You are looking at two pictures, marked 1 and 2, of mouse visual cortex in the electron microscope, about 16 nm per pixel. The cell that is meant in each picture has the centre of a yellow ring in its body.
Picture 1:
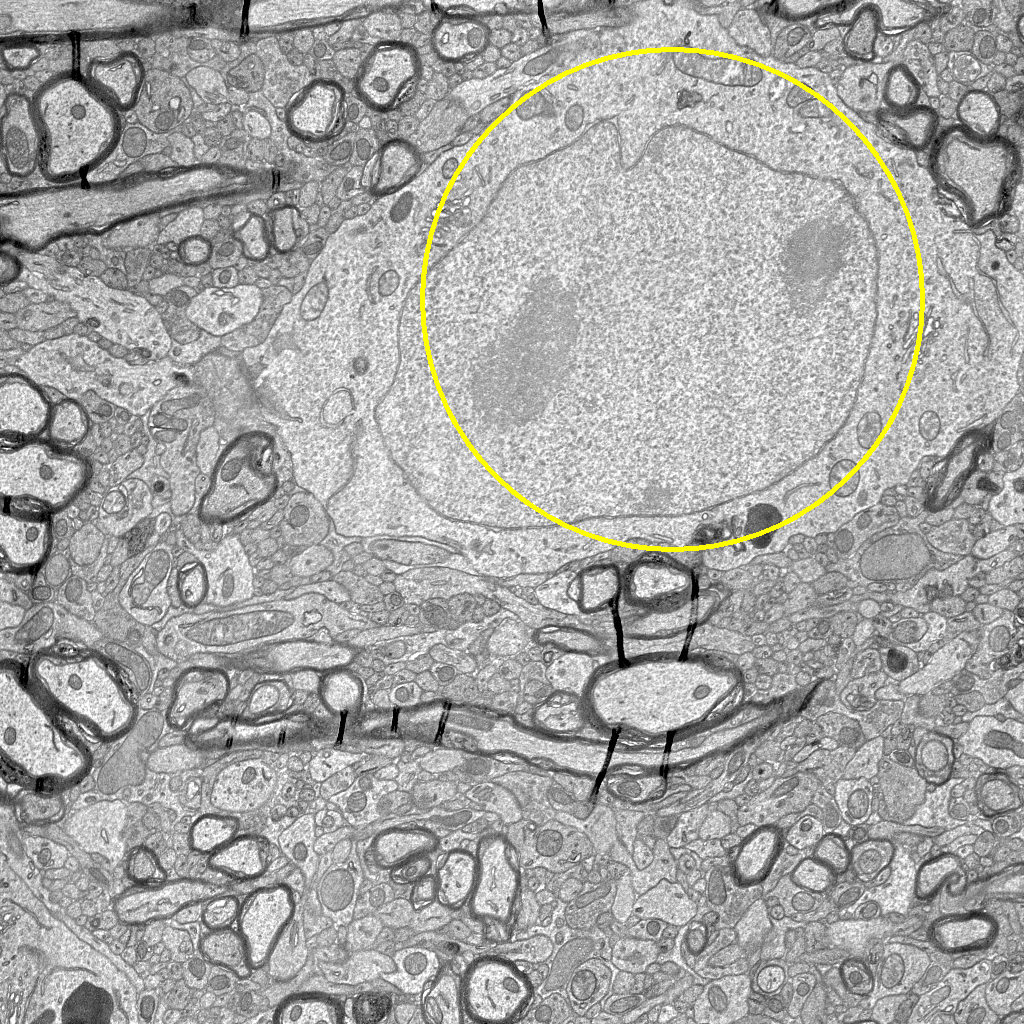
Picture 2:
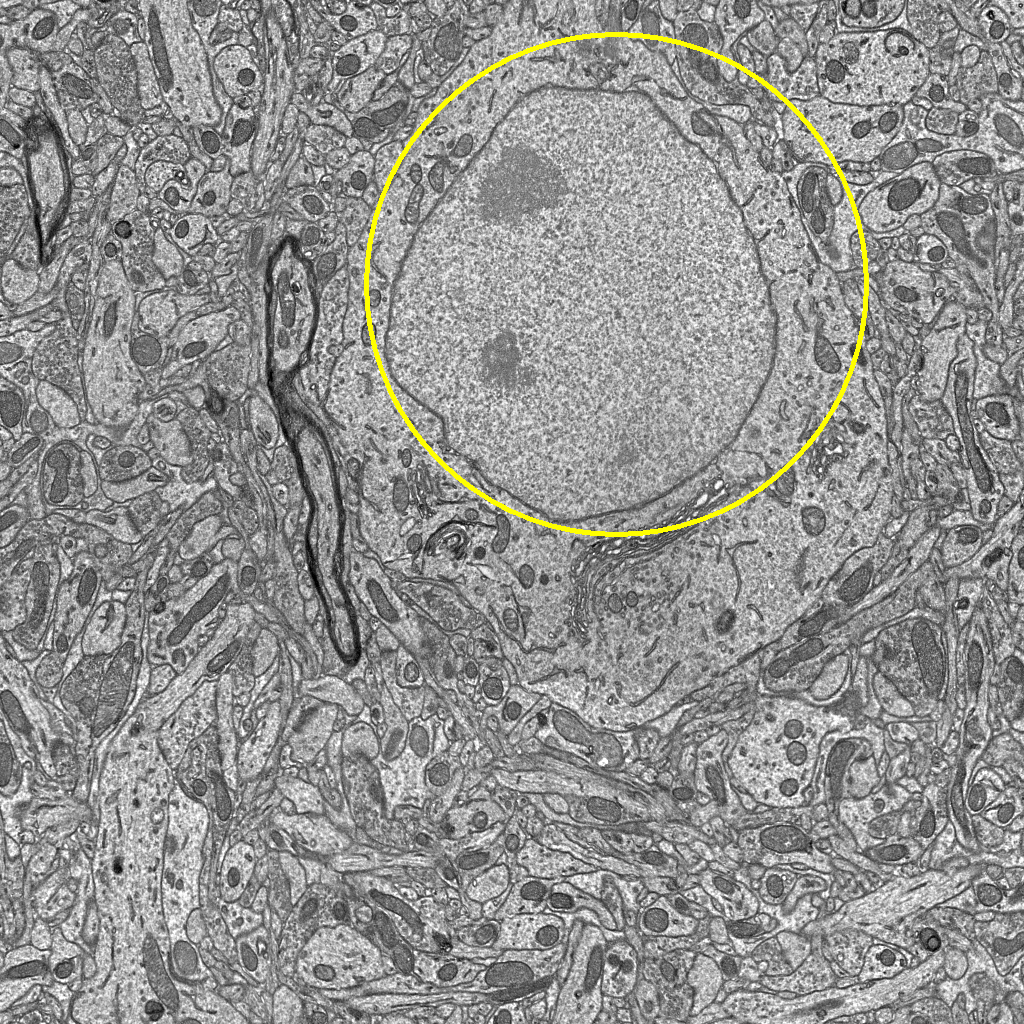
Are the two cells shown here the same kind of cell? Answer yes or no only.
yes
